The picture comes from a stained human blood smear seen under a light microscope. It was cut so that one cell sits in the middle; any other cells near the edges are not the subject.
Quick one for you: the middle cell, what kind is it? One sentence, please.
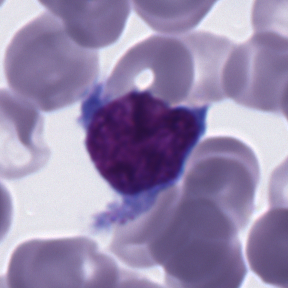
Among the cells in view, the one in the middle is a typical lymphocyte.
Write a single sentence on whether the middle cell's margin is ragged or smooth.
An irregular outline, ragged or marked by projections, surrounds this cell.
